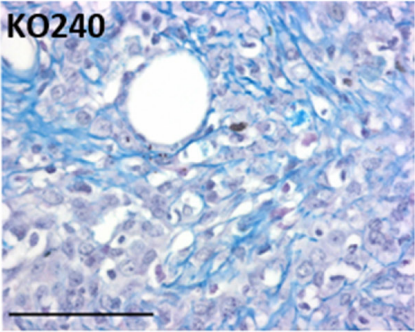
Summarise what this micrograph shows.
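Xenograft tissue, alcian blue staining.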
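Between the cells runs abundant blue, fibrillar material that forms a network through much of the field. A round empty space, perhaps a vessel, sits near the top middle.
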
